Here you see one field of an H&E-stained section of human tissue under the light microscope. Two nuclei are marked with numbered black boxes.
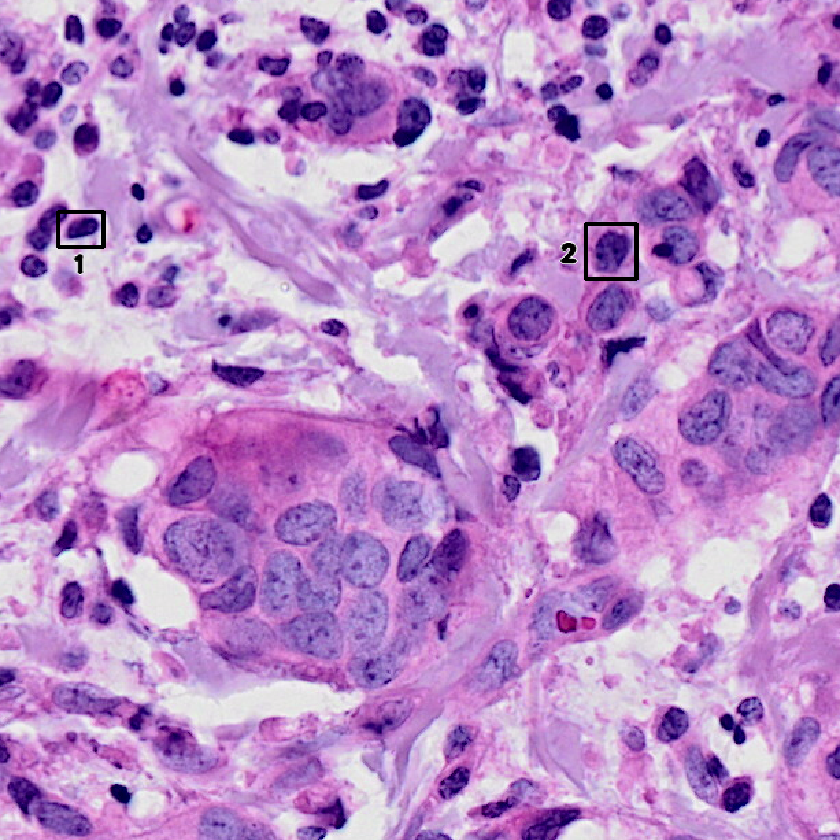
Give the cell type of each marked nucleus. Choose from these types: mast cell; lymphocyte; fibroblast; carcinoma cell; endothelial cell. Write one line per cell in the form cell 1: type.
cell 1: lymphocyte
cell 2: carcinoma cell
